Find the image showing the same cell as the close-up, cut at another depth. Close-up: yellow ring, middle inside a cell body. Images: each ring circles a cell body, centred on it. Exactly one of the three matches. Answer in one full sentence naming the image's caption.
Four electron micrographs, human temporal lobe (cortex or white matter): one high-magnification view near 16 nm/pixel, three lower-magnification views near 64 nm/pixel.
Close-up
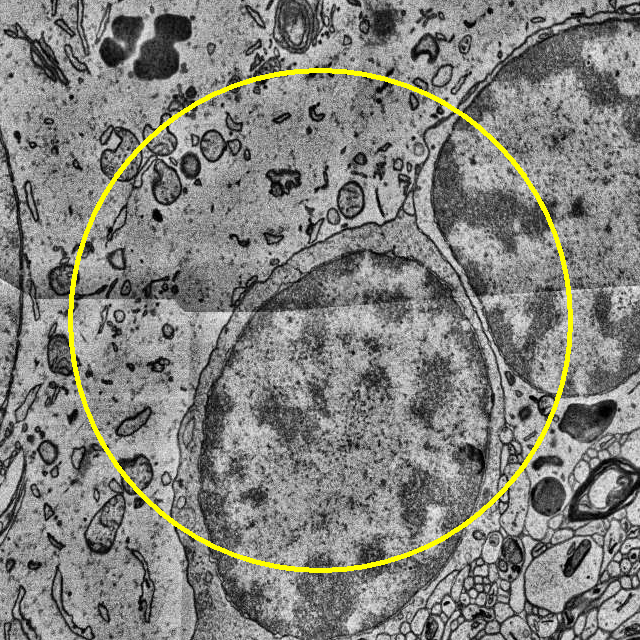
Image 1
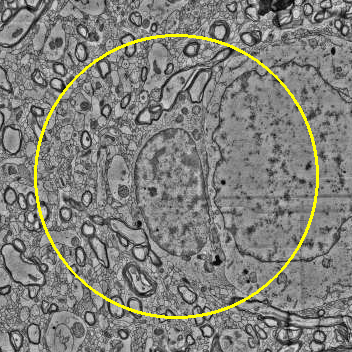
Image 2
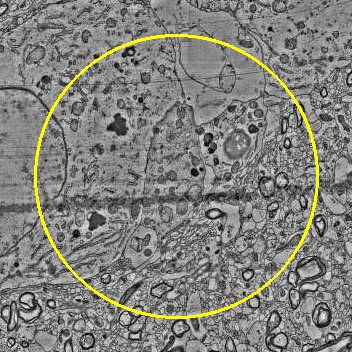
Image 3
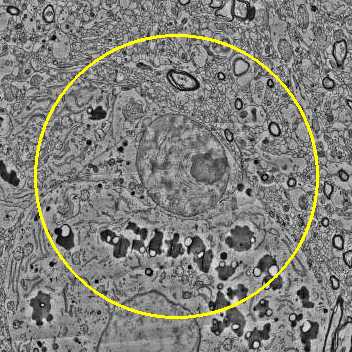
It is the cell in Image 2 that appears in the close-up.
